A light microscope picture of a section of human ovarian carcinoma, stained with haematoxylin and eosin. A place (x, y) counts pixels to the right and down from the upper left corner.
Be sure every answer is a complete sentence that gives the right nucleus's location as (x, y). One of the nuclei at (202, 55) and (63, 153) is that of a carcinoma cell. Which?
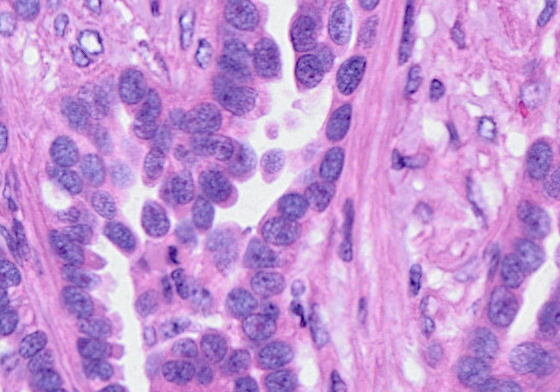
At (63, 153) lies the nucleus that belongs to a carcinoma cell.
